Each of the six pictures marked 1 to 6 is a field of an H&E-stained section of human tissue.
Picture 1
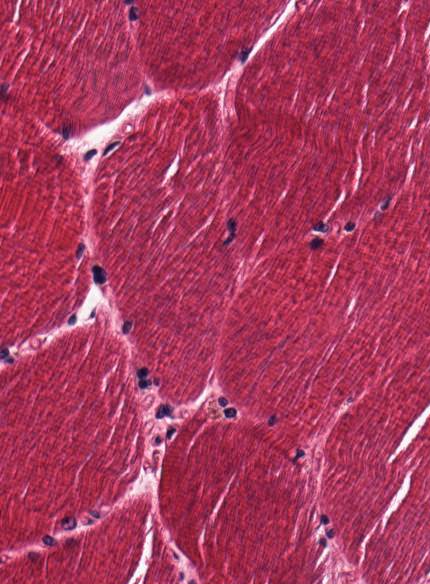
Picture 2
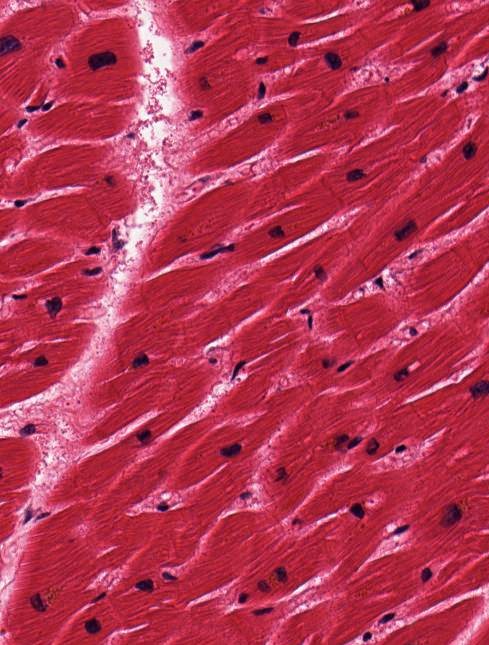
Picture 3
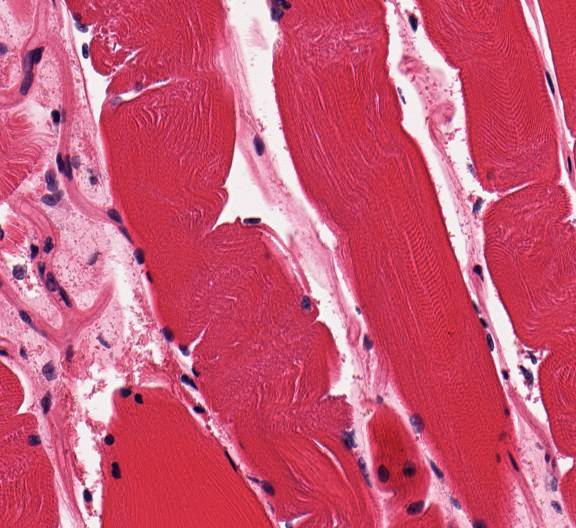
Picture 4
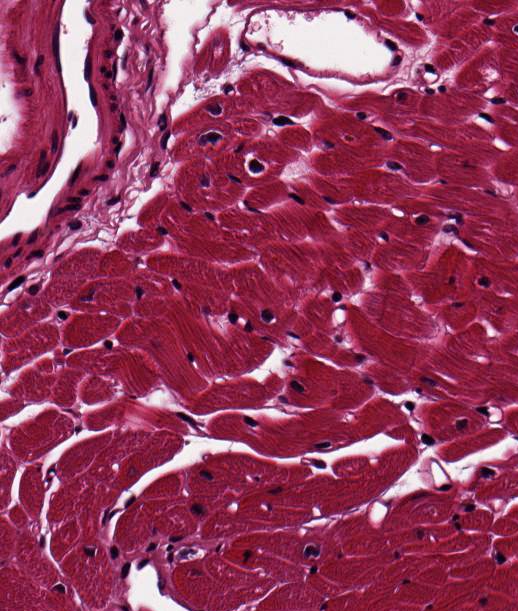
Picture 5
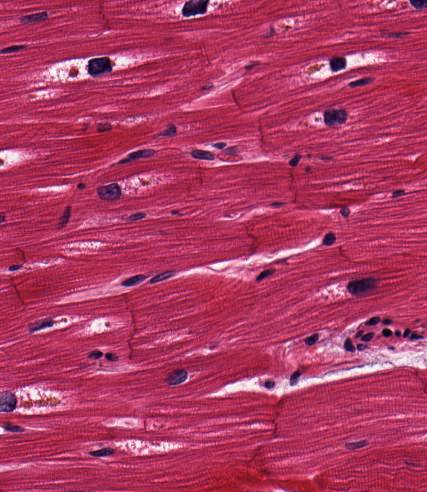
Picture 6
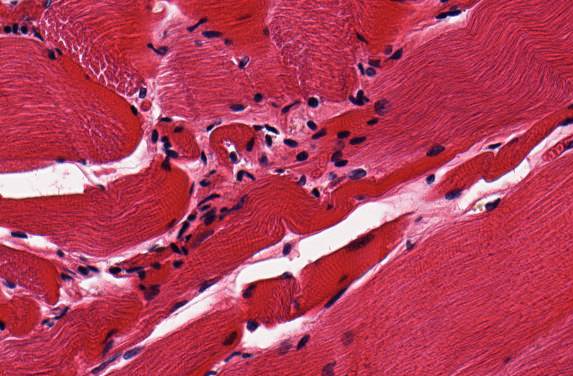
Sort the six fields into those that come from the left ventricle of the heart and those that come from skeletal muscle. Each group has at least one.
1: skeletal muscle
2: left ventricle of the heart
3: skeletal muscle
4: left ventricle of the heart
5: left ventricle of the heart
6: skeletal muscle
